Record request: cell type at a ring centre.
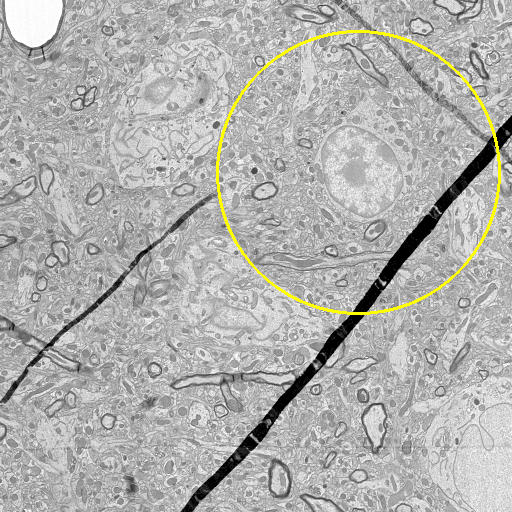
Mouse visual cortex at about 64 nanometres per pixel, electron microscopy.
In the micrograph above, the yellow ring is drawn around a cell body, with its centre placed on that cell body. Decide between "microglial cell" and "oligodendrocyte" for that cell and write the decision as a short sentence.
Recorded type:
The cell centred in the yellow ring is an oligodendrocyte.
